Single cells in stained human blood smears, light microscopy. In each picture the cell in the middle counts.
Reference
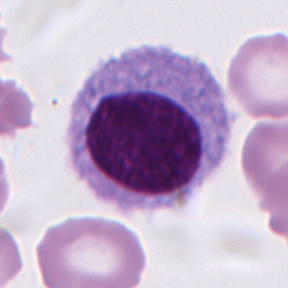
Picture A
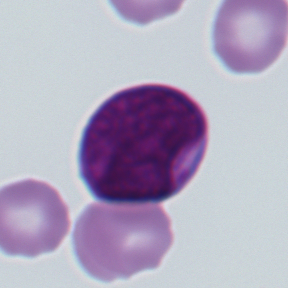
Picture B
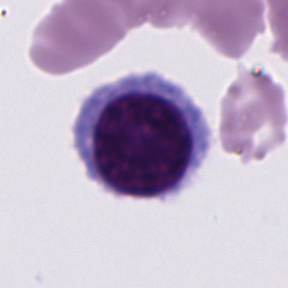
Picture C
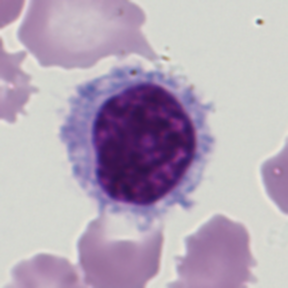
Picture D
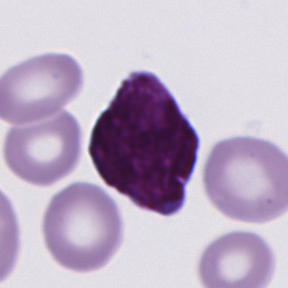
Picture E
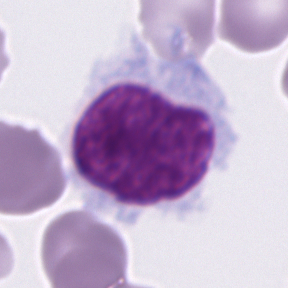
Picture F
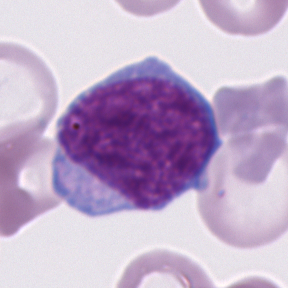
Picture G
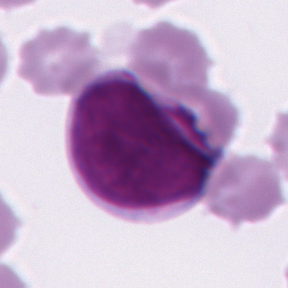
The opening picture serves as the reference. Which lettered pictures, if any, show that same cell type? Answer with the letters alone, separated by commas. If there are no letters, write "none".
B, C, E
